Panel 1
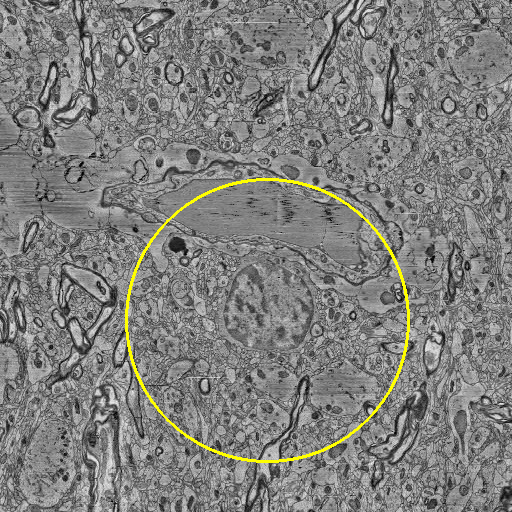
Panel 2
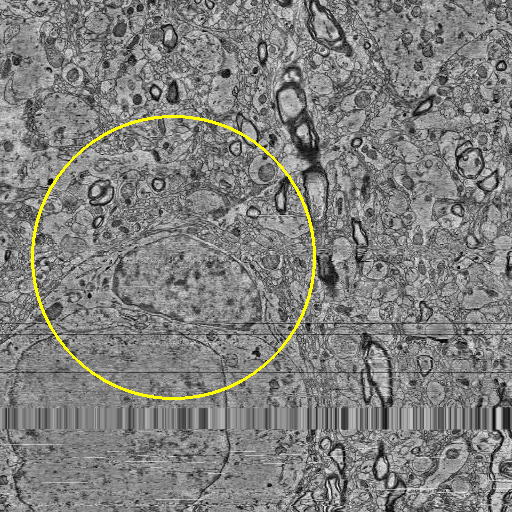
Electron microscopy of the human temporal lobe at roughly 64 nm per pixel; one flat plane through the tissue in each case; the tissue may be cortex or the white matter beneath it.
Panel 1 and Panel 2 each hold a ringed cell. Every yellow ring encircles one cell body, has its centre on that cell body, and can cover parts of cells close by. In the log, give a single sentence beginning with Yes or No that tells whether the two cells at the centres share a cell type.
No, in Panel 1 and Panel 2 the centred cells are of two cell types.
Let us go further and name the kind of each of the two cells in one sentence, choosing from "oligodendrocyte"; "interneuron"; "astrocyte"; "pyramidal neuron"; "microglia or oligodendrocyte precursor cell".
The ring of the first picture is on an oligodendrocyte, the ring of the second on a microglial cell or oligodendrocyte precursor cell.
